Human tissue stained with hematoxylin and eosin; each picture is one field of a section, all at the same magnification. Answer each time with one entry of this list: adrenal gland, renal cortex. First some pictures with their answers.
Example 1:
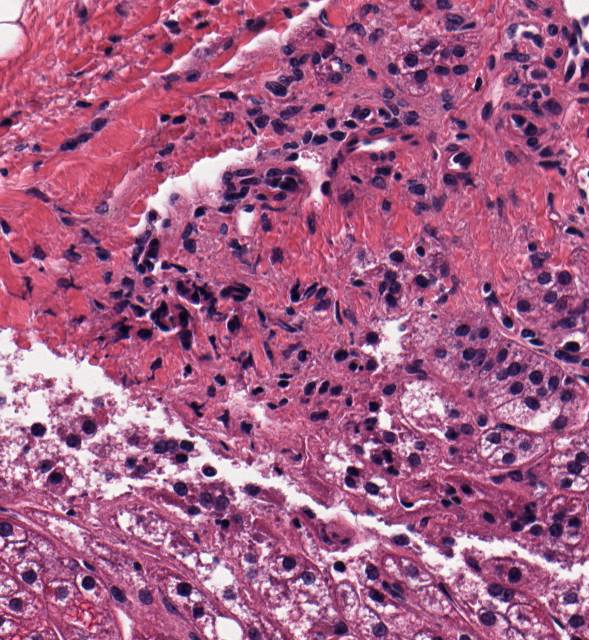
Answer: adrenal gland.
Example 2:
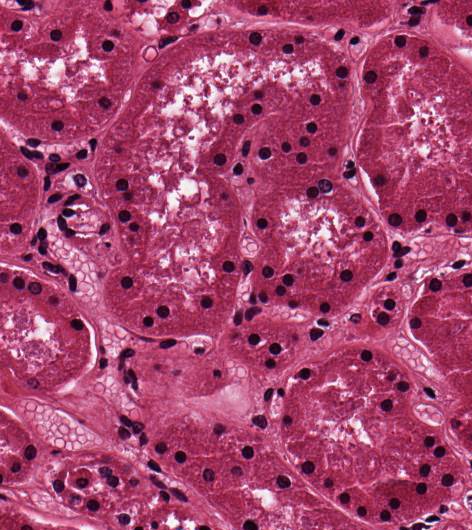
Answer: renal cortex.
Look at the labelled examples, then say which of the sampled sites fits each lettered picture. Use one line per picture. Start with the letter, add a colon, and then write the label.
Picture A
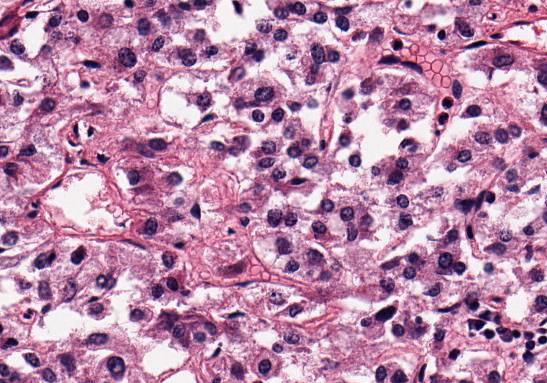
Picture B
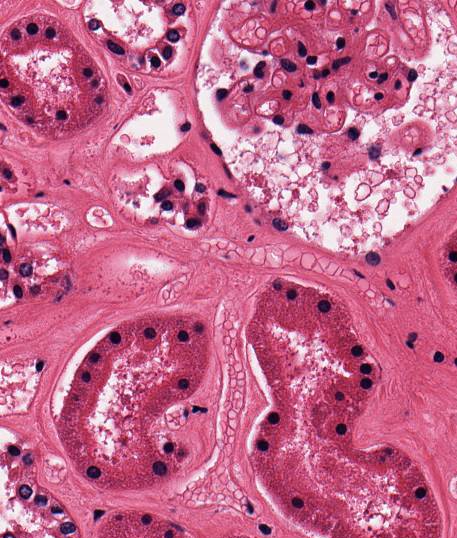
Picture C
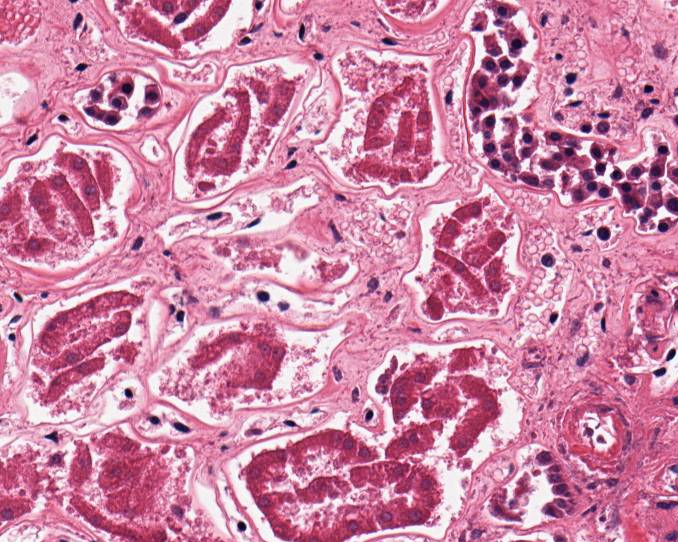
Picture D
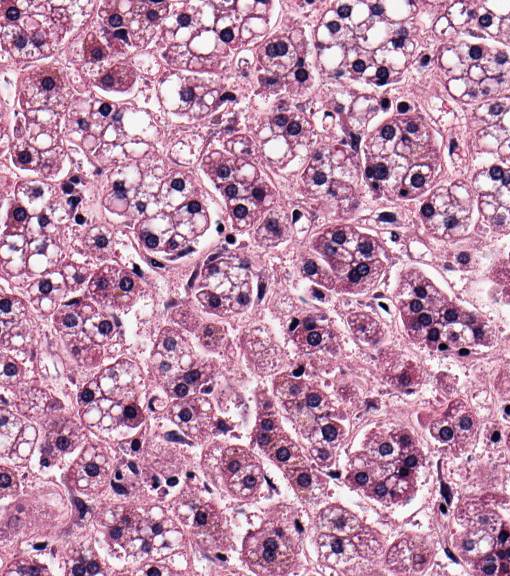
A: adrenal gland.
B: renal cortex.
C: renal cortex.
D: adrenal gland.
